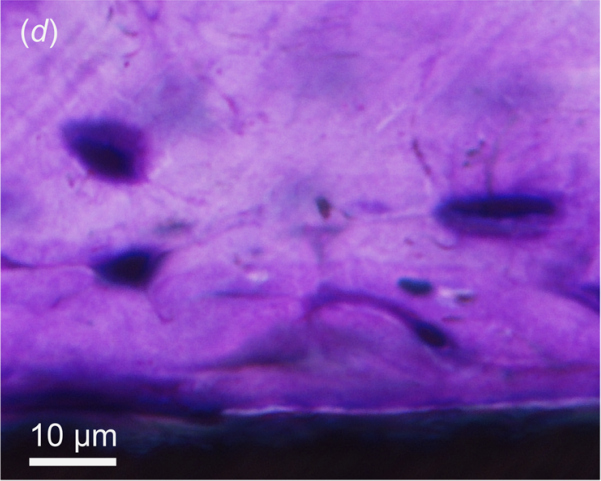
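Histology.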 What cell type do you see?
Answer: Osteocytes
